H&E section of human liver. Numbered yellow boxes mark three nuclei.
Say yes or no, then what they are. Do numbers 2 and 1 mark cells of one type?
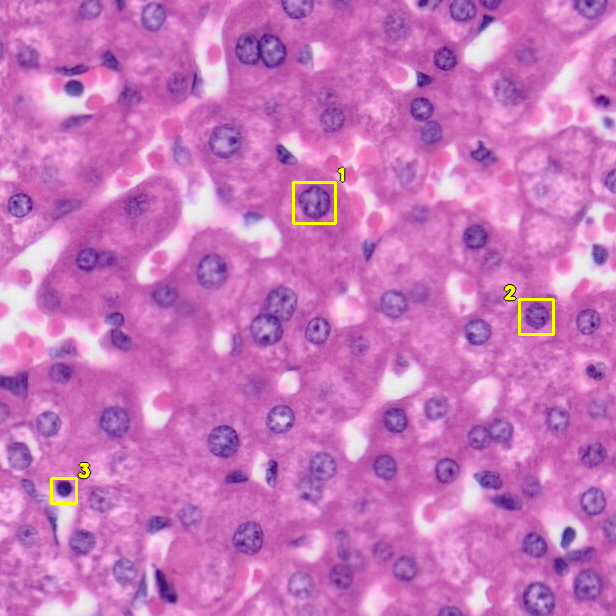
Yes, cells 2 and 1 are both hepatocytes in this section.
